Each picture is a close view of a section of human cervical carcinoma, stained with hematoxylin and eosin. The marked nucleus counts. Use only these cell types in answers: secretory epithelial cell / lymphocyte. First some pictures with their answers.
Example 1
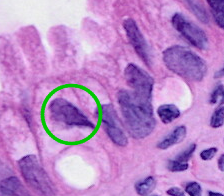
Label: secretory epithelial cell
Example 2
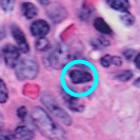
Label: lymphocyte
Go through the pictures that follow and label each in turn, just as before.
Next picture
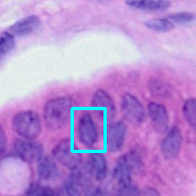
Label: secretory epithelial cell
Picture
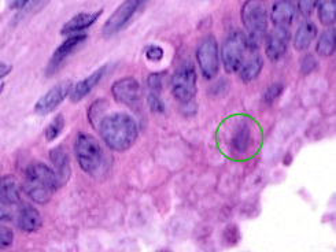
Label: secretory epithelial cell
